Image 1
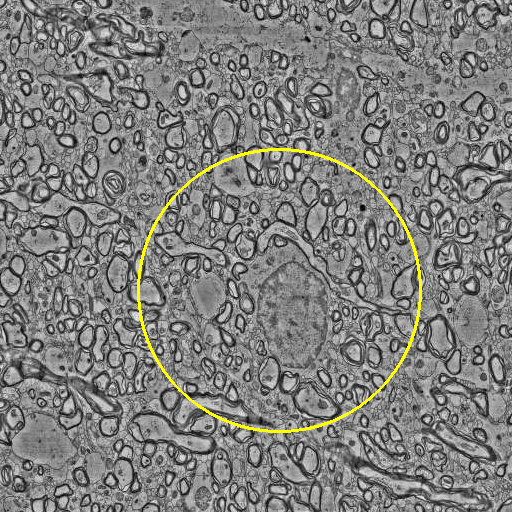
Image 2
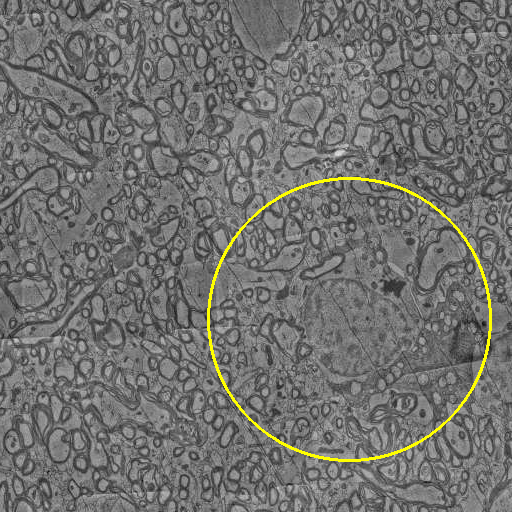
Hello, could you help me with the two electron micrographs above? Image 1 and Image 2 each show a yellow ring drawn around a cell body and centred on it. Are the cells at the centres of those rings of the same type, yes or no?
yes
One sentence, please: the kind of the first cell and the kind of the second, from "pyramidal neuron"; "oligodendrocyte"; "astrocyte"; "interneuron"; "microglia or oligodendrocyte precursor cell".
Each of the ringed cells, first and second, is an oligodendrocyte.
